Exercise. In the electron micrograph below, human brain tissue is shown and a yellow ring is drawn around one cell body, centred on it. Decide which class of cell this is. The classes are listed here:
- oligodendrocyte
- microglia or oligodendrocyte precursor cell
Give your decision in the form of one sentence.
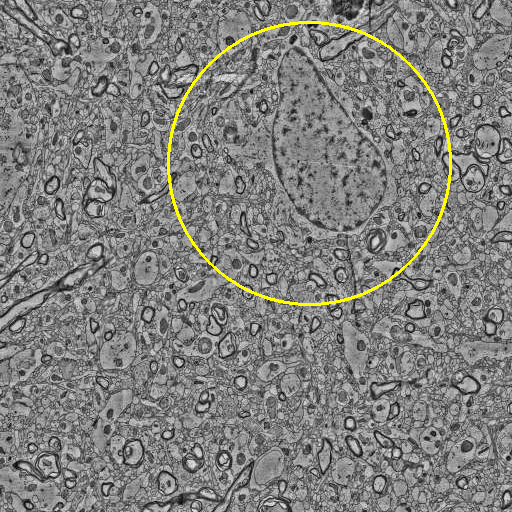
The cell body marked by the ring belongs to a microglial cell or oligodendrocyte precursor cell.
